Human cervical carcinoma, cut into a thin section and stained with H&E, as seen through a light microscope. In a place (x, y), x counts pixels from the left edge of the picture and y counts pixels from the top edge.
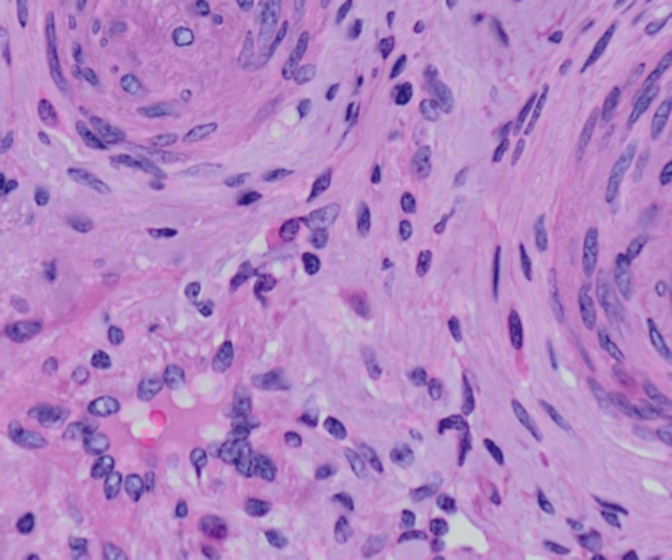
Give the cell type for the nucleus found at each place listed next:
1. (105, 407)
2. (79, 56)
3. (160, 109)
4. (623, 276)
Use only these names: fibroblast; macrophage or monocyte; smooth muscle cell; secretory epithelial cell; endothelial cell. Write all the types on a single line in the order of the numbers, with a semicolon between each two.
endothelial cell; smooth muscle cell; smooth muscle cell; smooth muscle cell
